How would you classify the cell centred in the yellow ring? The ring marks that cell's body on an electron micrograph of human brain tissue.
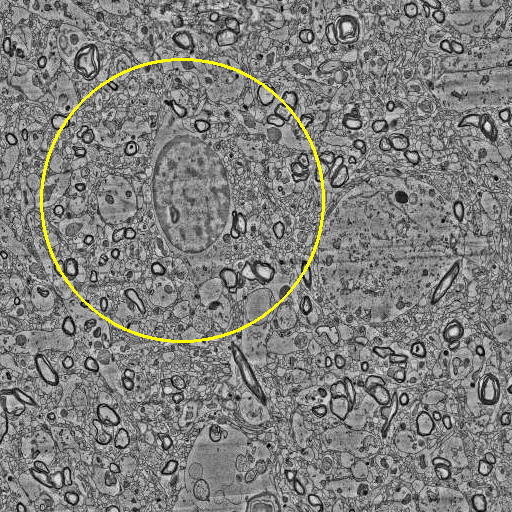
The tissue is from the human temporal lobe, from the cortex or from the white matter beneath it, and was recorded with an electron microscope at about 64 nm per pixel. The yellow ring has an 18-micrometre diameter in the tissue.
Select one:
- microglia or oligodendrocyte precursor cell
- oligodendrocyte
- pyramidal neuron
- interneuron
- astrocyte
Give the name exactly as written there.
oligodendrocyte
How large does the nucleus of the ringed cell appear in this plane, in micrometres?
The nucleus appears roughly 7 by 5 micrometres in this plane.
